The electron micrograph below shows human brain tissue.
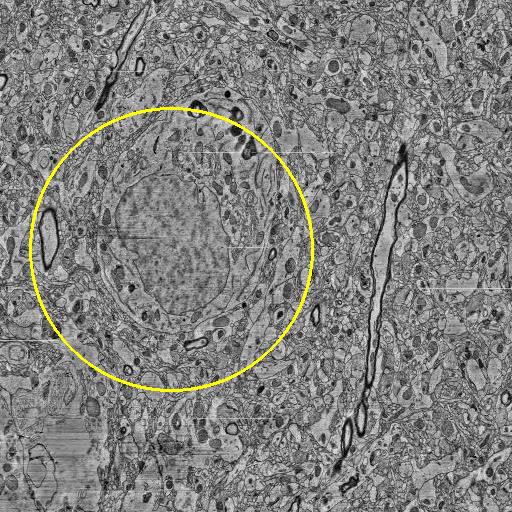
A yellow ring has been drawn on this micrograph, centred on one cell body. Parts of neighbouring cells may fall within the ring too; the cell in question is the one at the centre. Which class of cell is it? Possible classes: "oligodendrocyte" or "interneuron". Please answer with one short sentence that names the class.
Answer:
In the centre of the ring sits an interneuron.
